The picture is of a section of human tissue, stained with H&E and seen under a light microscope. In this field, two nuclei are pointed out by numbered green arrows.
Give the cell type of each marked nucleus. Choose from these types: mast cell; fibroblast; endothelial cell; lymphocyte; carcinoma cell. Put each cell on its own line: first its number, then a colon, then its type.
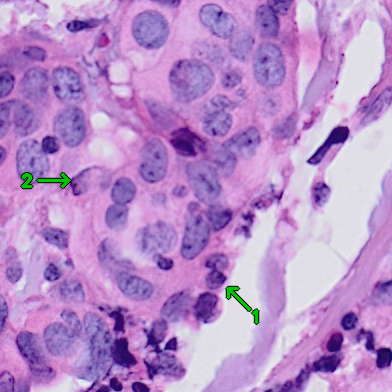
1: lymphocyte
2: carcinoma cell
